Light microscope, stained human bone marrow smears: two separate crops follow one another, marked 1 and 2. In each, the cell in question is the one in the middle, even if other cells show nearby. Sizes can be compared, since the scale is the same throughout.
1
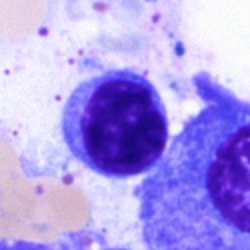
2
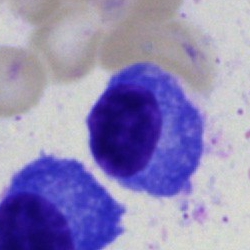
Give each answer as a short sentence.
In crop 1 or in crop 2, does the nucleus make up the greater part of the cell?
In crop 1 the nucleus takes up the larger part of its cell.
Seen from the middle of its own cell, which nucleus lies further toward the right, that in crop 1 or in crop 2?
It is the nucleus in crop 1 that lies further toward the right of its cell.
